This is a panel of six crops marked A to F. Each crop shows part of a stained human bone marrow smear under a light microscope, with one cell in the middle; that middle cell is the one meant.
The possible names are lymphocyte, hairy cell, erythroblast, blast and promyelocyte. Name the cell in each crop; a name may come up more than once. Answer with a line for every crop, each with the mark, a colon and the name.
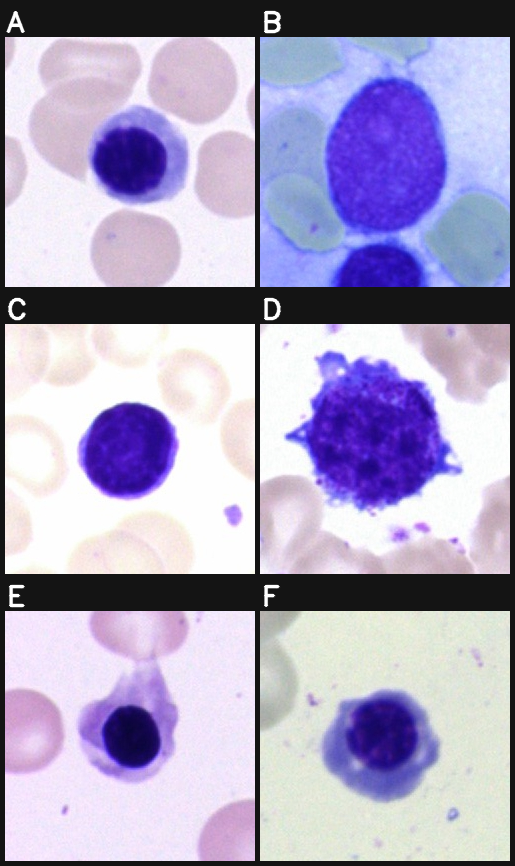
A: erythroblast
B: blast
C: lymphocyte
D: promyelocyte
E: erythroblast
F: erythroblast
